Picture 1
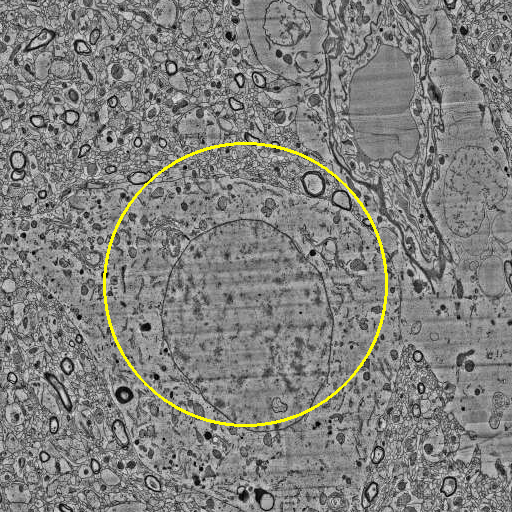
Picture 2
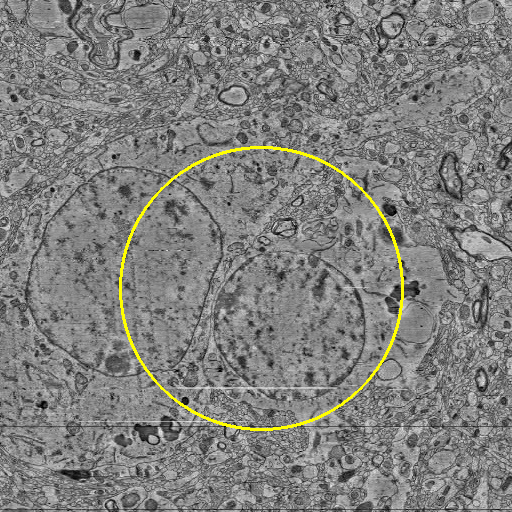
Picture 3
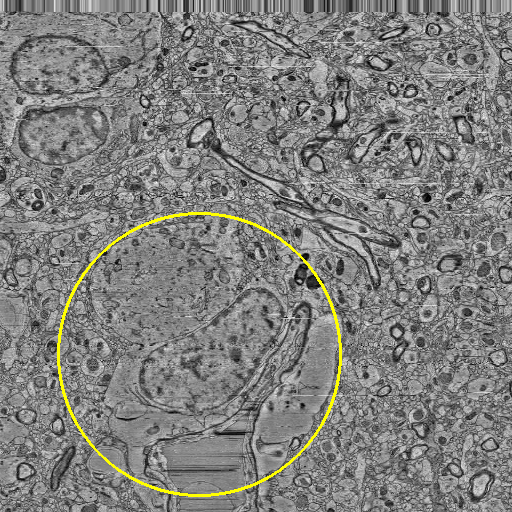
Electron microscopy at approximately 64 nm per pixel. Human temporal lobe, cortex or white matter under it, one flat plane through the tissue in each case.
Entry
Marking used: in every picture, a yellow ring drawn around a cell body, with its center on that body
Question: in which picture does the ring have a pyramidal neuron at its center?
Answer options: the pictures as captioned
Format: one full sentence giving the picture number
Picture 1 is where the ring's center falls on the requested cell.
